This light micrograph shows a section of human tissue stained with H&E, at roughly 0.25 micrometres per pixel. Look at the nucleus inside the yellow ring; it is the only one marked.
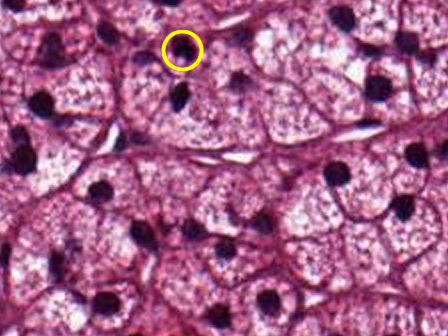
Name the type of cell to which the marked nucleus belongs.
adrenal cortical cell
